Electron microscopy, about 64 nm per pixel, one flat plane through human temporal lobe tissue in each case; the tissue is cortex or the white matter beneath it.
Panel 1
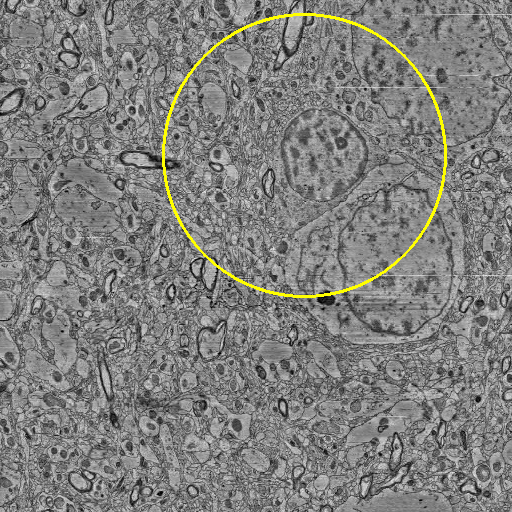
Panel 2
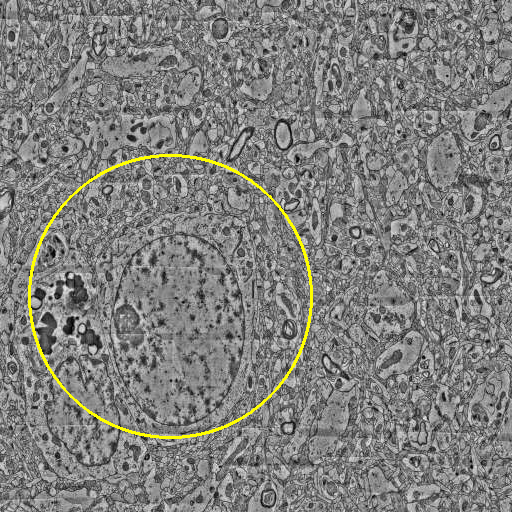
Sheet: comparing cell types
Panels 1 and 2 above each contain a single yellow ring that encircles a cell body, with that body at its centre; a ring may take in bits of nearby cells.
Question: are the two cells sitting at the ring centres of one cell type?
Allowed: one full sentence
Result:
No, the ring-centre cells in Panel 1 and Panel 2 are of two types.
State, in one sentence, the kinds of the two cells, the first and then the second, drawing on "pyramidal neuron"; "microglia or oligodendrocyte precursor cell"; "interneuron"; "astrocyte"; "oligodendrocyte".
The ring in the second picture is centred on a pyramidal neuron, the ring in the first on an oligodendrocyte.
